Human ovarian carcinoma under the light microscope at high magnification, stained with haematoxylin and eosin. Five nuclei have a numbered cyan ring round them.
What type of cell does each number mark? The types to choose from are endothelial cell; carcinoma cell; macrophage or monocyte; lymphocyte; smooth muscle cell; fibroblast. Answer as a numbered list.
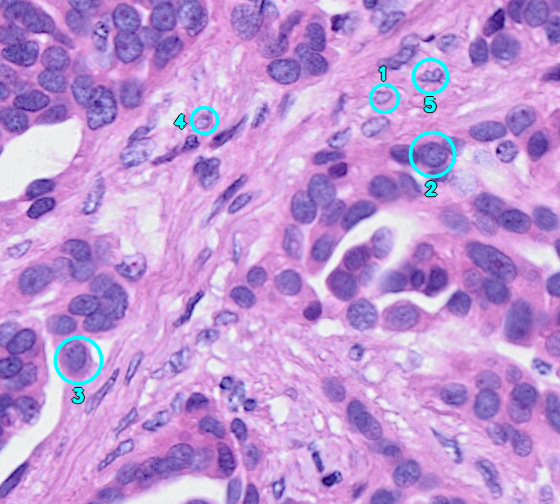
1. fibroblast
2. carcinoma cell
3. carcinoma cell
4. fibroblast
5. fibroblast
